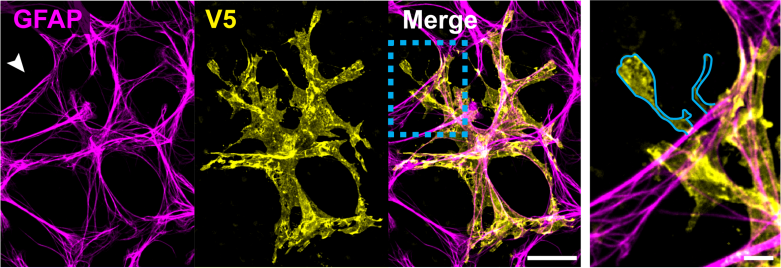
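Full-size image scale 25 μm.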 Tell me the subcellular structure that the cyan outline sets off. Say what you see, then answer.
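In the enlarged view, a cyan line encloses a slender, looping yellow extension. The enclosed extension has no magenta filaments inside it. That points to this answer: astrocyte processes.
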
